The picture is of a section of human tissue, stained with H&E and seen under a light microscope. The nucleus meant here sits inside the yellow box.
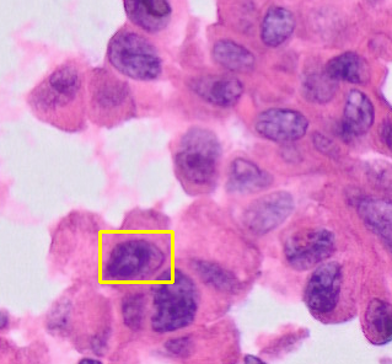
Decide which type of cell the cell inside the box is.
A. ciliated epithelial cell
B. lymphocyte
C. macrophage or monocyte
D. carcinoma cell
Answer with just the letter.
D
